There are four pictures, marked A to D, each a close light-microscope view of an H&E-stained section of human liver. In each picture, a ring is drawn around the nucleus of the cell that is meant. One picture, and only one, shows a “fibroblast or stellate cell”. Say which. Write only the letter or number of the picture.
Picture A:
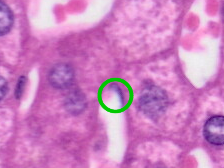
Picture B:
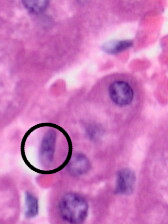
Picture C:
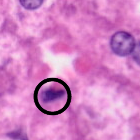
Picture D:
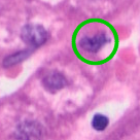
C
